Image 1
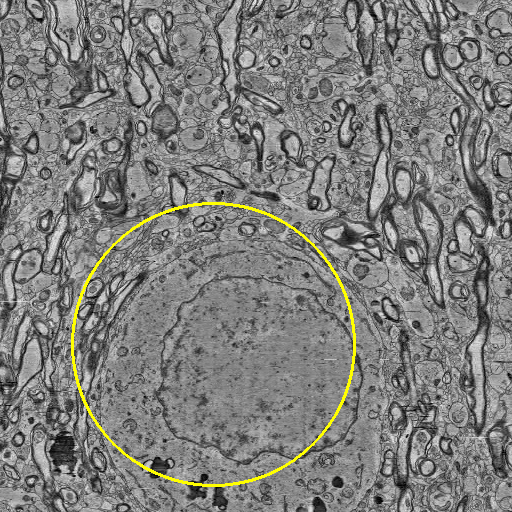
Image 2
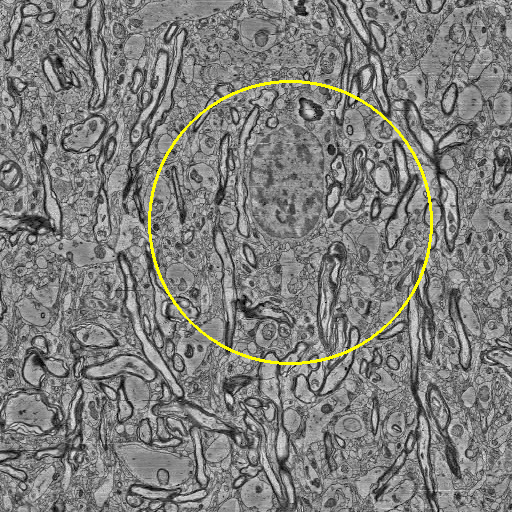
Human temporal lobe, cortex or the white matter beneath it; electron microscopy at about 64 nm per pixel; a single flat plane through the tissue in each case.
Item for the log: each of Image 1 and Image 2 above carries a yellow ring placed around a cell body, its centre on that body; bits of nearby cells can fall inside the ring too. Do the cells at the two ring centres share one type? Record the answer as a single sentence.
No, the two cells at the ring centres in Image 1 and Image 2 are of two types.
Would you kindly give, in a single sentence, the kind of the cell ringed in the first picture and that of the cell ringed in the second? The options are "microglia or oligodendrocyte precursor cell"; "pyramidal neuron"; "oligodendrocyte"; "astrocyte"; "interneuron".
The second cell is an oligodendrocyte, and the first cell is a pyramidal neuron.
